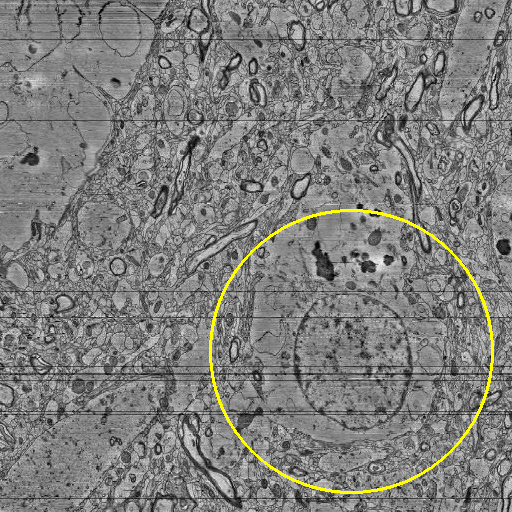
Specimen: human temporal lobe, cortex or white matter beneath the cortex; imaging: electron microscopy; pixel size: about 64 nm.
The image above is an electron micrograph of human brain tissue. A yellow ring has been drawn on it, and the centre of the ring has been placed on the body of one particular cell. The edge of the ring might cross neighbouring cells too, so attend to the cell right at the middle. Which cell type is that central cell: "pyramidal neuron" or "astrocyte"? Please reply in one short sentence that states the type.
The central cell in the ring is an astrocyte.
